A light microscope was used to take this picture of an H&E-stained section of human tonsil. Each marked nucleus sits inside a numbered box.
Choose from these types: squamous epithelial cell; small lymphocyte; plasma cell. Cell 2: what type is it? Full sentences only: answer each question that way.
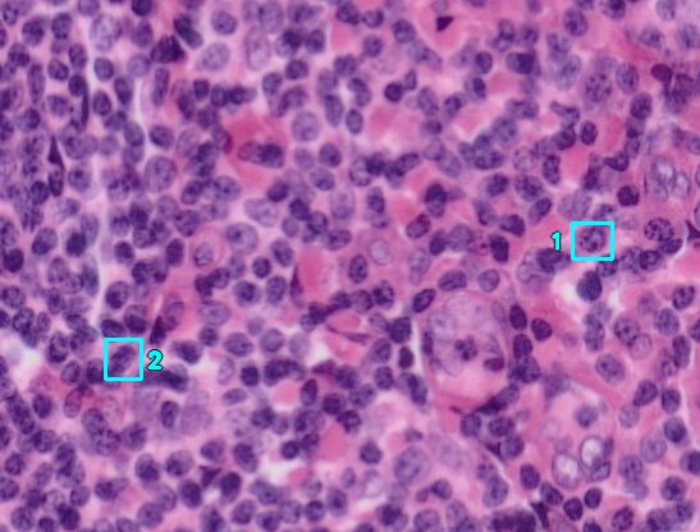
To a small lymphocyte belongs the nucleus marked 2.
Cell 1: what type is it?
Belonging to a plasma cell is the nucleus that carries the number 1.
